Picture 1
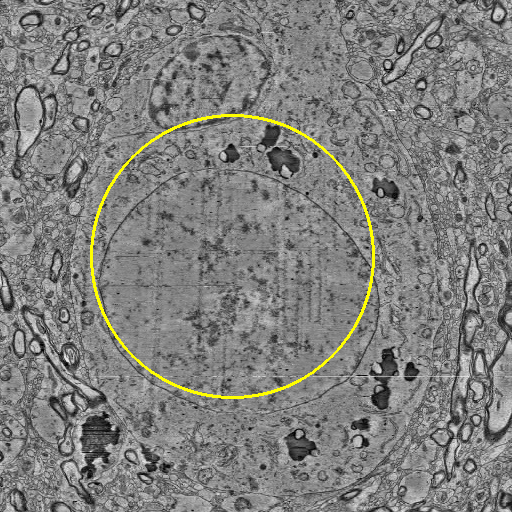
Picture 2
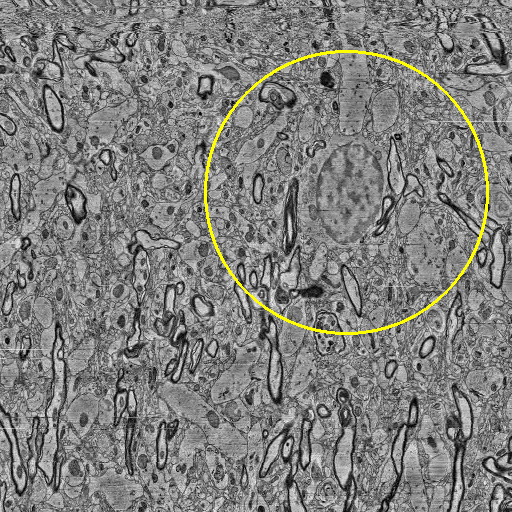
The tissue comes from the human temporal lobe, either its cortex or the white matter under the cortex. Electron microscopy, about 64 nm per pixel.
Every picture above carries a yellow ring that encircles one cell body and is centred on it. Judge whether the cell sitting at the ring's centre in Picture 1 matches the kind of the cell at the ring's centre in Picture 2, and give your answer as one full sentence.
No, the cells centred in the rings of Pictures 1 and 2 belong to two kinds.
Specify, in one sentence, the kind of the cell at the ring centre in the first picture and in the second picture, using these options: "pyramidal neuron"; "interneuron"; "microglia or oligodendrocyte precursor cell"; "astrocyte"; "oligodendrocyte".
So the first is a pyramidal neuron, the second an oligodendrocyte.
